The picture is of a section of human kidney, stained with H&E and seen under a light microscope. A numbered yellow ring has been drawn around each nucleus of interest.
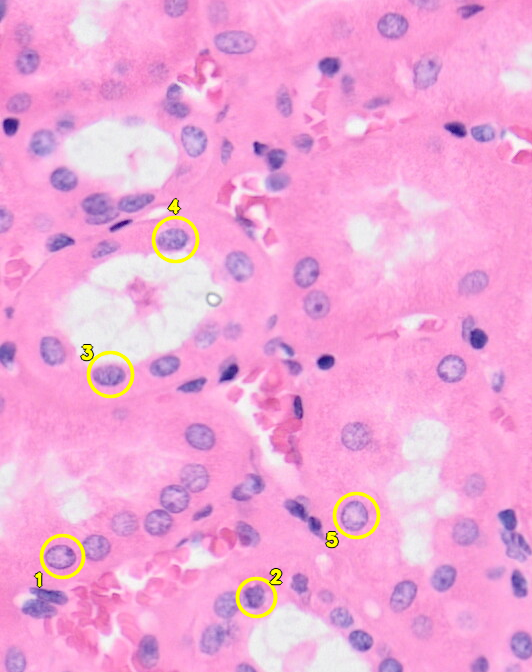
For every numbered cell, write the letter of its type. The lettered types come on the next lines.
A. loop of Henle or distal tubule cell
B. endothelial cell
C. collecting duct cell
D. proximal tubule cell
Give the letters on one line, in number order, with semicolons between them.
D; A; A; A; D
